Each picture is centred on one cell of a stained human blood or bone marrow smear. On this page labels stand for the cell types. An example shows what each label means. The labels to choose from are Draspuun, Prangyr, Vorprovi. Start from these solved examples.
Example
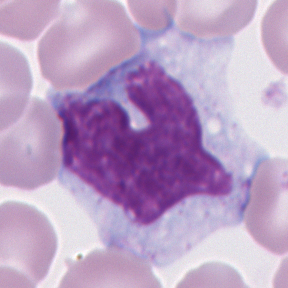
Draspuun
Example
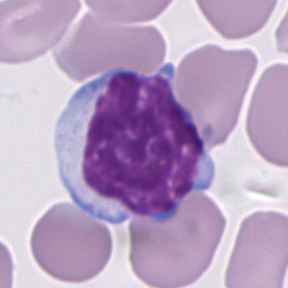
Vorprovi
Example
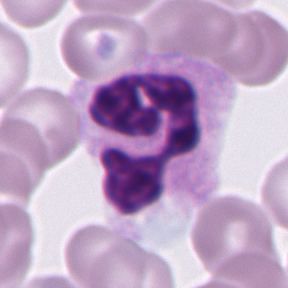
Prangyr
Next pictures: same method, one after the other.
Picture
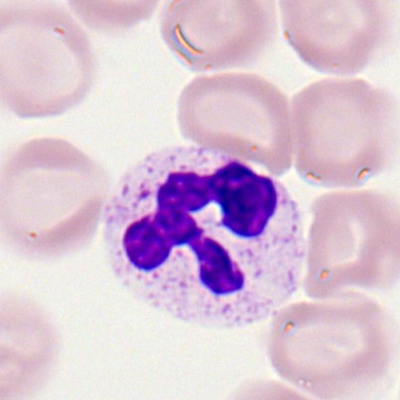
Prangyr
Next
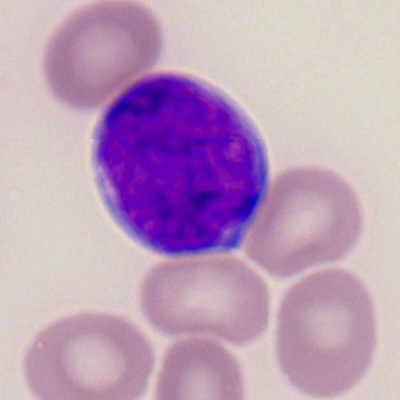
Vorprovi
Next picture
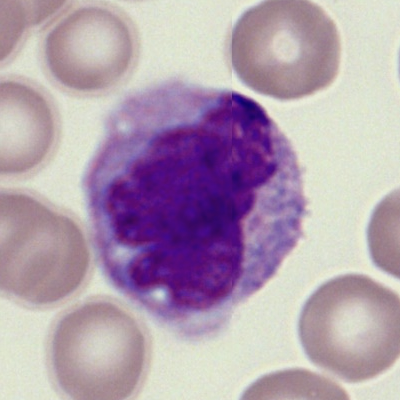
Draspuun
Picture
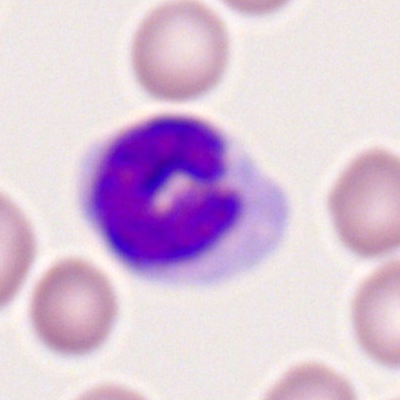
Draspuun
